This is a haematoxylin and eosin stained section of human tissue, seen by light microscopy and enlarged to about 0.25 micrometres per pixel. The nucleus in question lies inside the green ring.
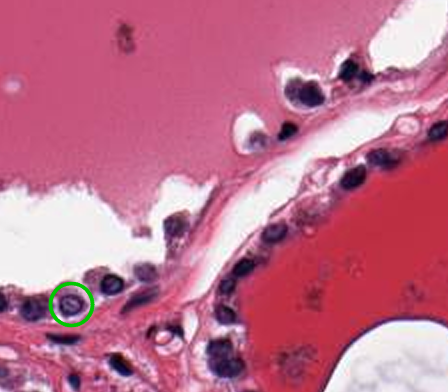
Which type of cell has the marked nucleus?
thyroid follicular cell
